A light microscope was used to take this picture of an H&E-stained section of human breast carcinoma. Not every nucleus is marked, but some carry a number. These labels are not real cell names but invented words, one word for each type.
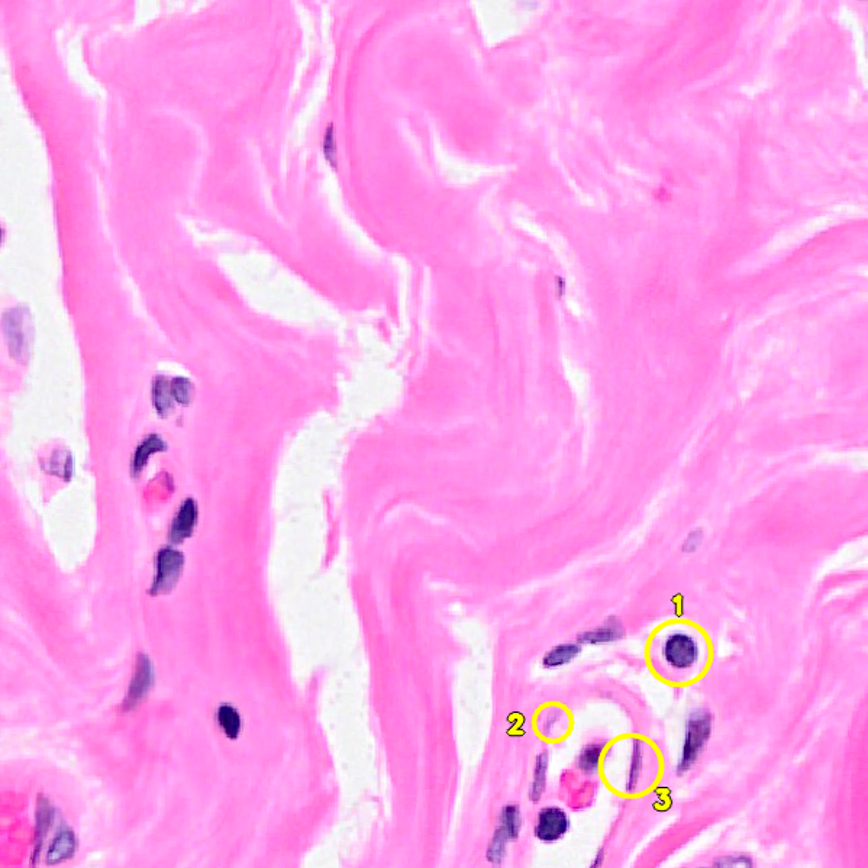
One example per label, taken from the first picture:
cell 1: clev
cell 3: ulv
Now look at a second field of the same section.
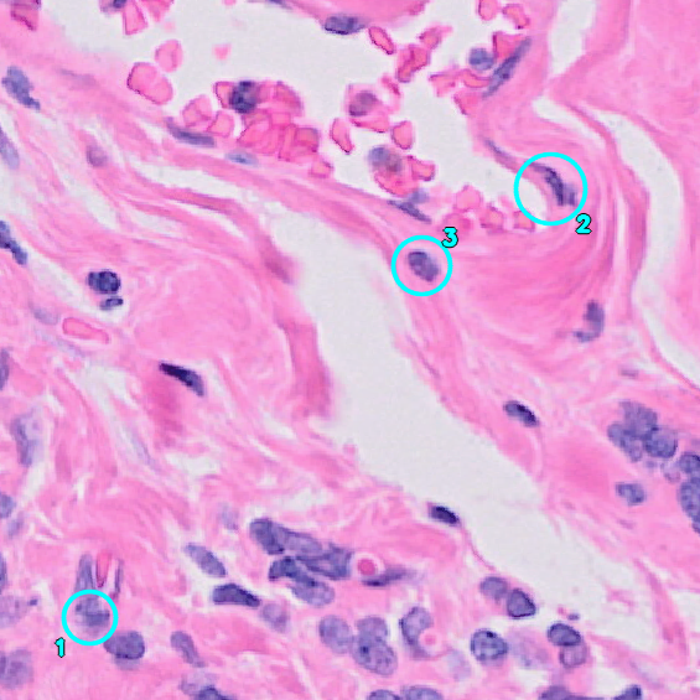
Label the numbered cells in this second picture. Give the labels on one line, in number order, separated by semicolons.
ulv; ulv; clev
